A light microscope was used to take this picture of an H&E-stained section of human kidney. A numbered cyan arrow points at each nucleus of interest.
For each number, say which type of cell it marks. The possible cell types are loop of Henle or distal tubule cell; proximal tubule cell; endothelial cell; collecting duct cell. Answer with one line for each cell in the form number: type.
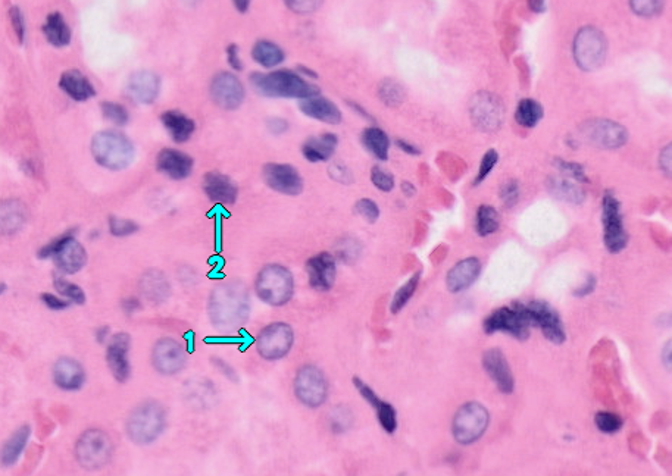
1: proximal tubule cell
2: loop of Henle or distal tubule cell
